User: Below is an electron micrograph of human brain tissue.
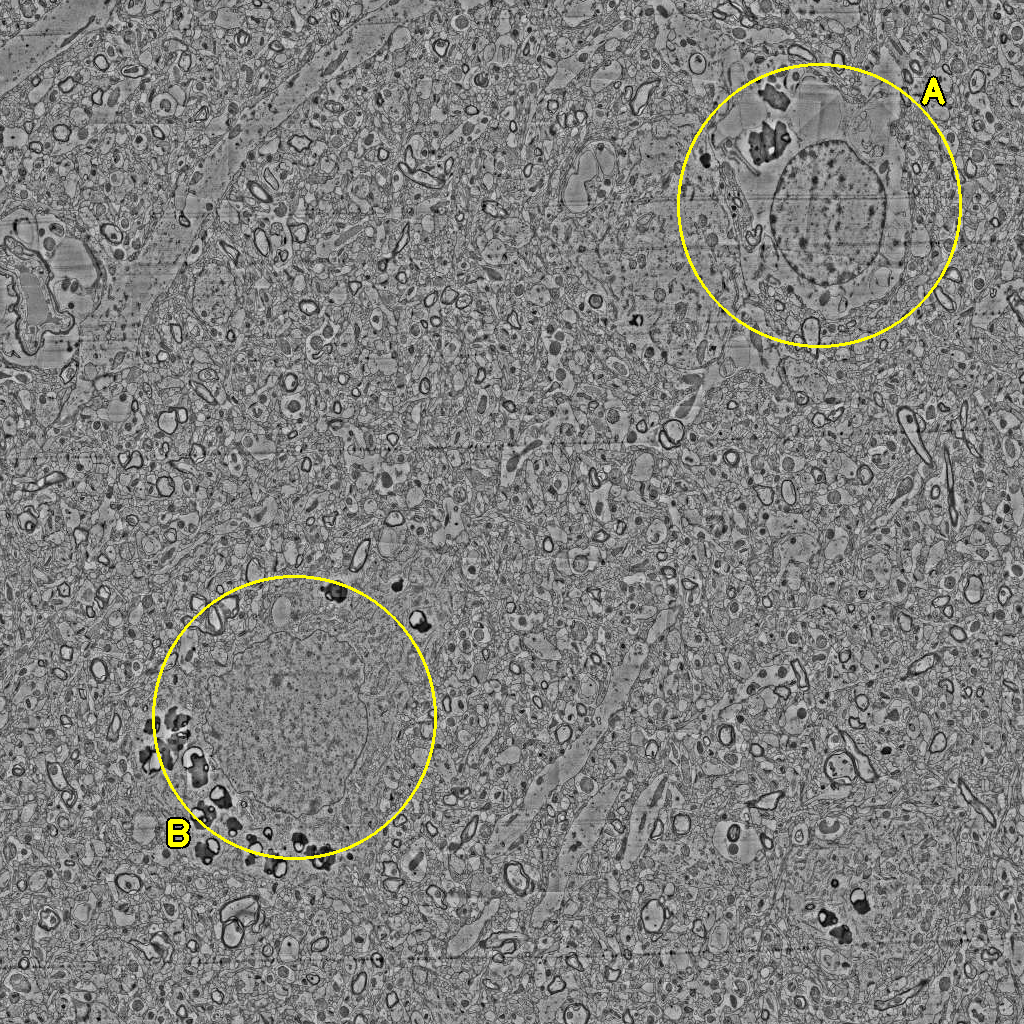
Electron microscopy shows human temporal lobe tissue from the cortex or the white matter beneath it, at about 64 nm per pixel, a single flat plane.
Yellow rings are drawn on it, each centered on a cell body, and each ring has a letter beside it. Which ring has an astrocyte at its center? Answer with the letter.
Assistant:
A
